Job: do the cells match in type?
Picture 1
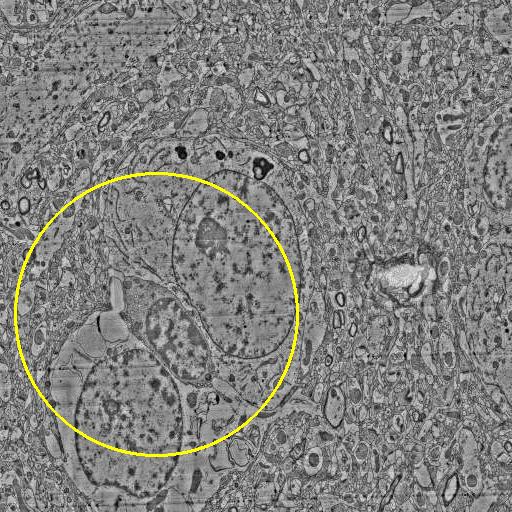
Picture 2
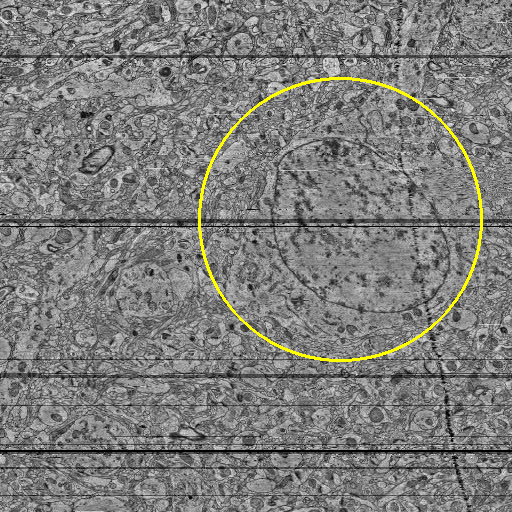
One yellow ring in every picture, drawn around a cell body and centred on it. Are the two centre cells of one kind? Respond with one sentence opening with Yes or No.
No, the ringed cells in the two pictures are of two separate kinds.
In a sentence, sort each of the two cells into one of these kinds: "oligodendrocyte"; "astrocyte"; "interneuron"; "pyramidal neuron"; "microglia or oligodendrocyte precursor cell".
The first of the two cells is an oligodendrocyte, and the second is a pyramidal neuron.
